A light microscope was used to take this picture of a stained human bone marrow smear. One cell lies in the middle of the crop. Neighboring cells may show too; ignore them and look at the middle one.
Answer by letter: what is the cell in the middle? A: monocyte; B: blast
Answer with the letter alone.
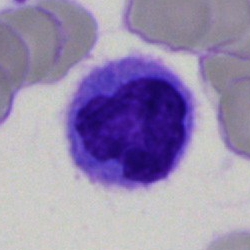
A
